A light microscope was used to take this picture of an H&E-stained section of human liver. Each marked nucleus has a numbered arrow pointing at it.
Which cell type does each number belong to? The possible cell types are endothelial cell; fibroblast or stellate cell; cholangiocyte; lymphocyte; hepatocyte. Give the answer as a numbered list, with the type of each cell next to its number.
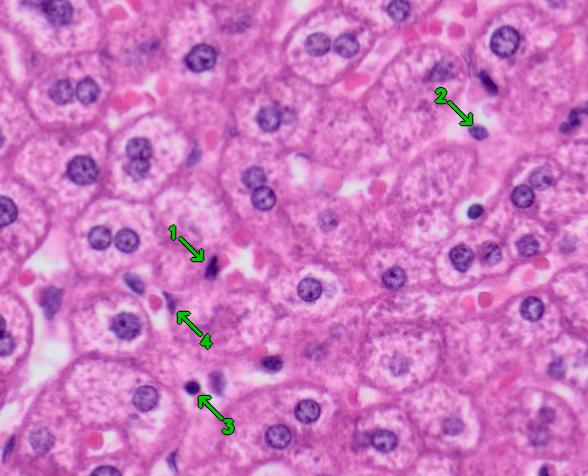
1. fibroblast or stellate cell
2. lymphocyte
3. lymphocyte
4. endothelial cell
